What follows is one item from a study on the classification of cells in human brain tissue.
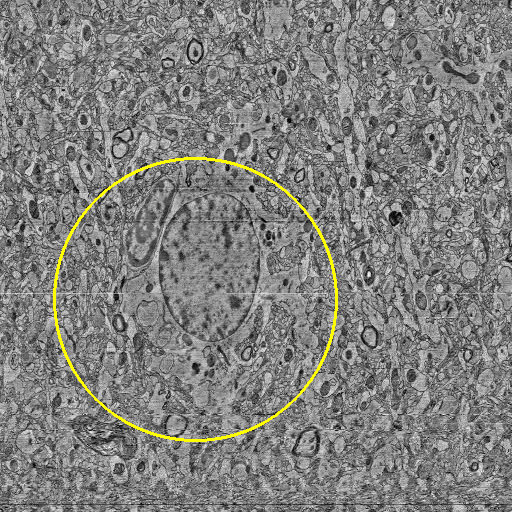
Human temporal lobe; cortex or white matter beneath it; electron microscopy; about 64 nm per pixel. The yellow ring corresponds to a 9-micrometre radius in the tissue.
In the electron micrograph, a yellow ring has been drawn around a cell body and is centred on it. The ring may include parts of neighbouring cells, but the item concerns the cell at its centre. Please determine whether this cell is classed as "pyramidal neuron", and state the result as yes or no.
no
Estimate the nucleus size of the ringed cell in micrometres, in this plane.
Roughly 10 micrometres by 6 micrometres, so the nucleus is clearly longer than it is wide in this plane.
